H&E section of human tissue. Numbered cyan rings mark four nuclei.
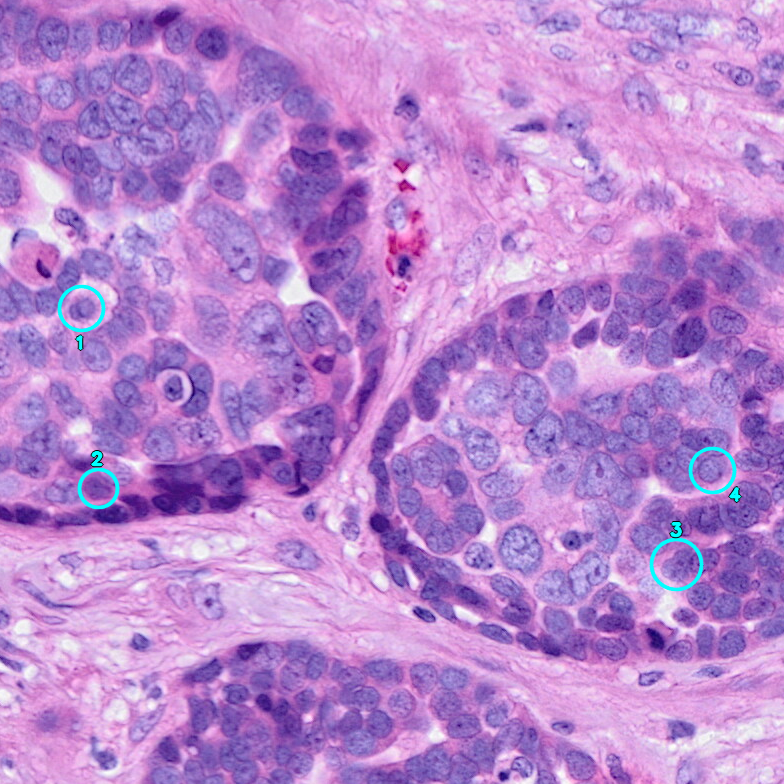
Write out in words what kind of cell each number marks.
Cell 1 is a macrophage or monocyte, cell 2 is a carcinoma cell, cell 3 is a carcinoma cell and cell 4 is a carcinoma cell.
